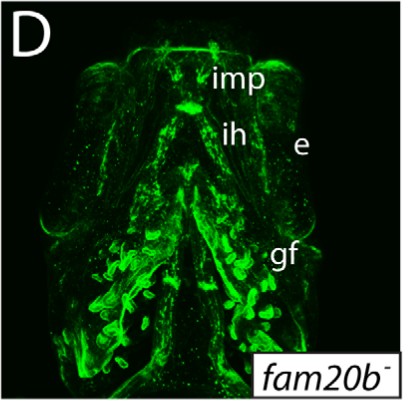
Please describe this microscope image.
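A ventral view of the larval head shows strongly green gill filaments as many short, curved finger-like profiles clustered in two posterior fans on either side of the midline. Fine fibrous green strands of the ventral muscle groups run obliquely toward the midline in the anterior half, and the outline of the eye is faintly seen at the side.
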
